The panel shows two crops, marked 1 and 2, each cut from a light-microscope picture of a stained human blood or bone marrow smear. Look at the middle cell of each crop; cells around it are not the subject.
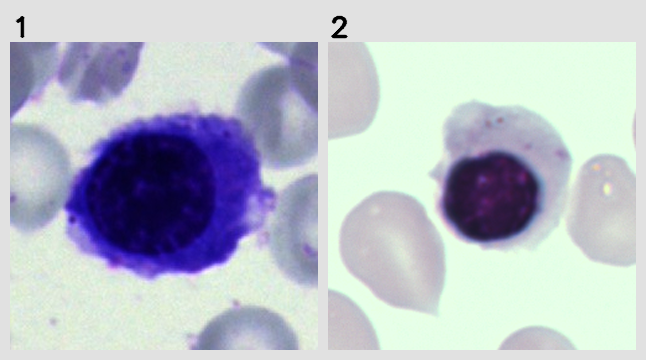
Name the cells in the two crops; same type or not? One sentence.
Yes, the central cells, in both crops, are erythroblasts.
